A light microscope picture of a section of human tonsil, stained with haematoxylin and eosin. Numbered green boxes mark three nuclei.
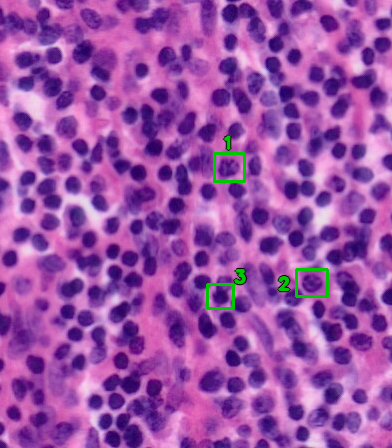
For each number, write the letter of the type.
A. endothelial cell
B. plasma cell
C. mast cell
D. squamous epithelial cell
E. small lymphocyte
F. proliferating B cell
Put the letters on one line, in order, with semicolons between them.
B; B; E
